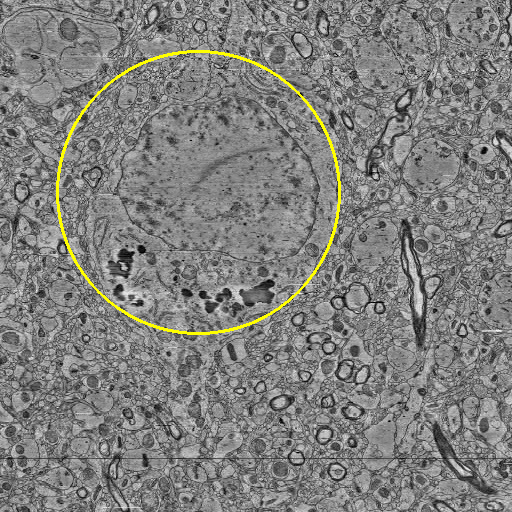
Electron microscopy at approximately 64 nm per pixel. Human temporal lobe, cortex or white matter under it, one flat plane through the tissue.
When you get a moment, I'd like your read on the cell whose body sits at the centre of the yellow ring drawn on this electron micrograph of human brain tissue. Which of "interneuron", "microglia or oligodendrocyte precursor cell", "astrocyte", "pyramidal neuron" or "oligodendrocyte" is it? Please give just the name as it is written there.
interneuron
